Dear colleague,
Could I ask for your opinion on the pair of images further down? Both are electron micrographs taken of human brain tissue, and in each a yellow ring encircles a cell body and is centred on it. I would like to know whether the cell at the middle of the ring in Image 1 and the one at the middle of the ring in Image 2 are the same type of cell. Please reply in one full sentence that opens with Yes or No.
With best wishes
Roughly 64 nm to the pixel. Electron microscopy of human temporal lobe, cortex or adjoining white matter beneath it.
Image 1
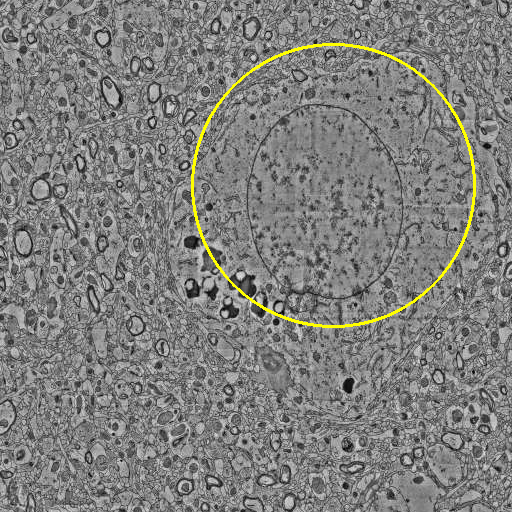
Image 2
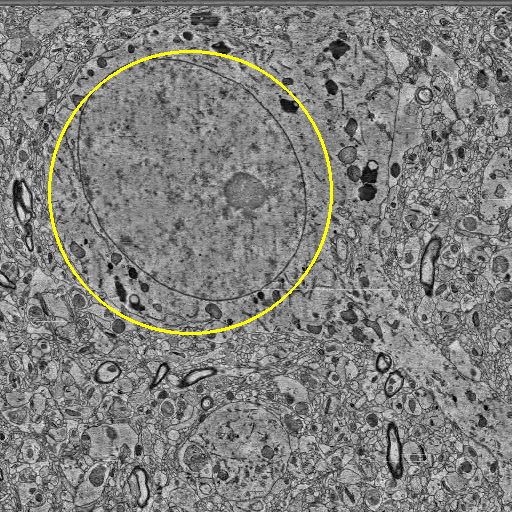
Yes, the cells at the ring centres in Image 1 and Image 2 are of one type.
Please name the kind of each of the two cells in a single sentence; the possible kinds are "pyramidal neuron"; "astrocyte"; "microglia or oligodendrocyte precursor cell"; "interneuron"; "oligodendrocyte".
Both pictures show a pyramidal neuron at the centre of the ring.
